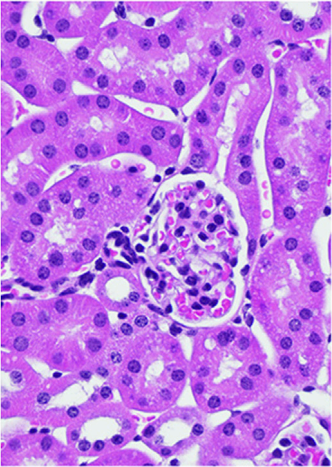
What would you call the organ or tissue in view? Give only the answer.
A: Renal cortex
